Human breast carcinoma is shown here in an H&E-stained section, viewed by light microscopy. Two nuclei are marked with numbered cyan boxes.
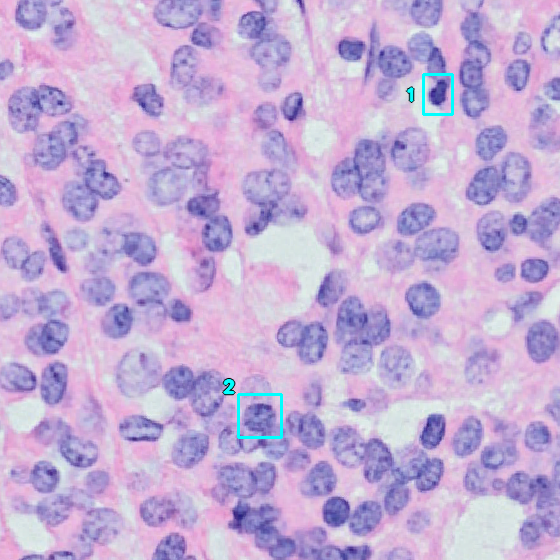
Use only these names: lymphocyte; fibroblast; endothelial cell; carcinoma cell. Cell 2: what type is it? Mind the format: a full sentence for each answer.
The cell pointed out as number 2 is a carcinoma cell.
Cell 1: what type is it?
The cell numbered 1 has been identified as a lymphocyte.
